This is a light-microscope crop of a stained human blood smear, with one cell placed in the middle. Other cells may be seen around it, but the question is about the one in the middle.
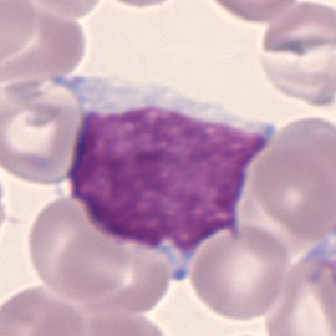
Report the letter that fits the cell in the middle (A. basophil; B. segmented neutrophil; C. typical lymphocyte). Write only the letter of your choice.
C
